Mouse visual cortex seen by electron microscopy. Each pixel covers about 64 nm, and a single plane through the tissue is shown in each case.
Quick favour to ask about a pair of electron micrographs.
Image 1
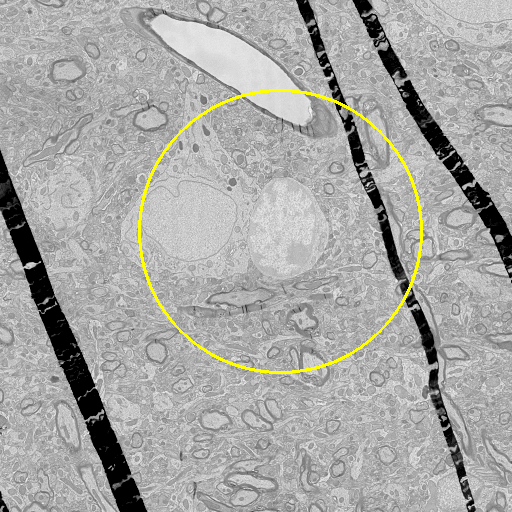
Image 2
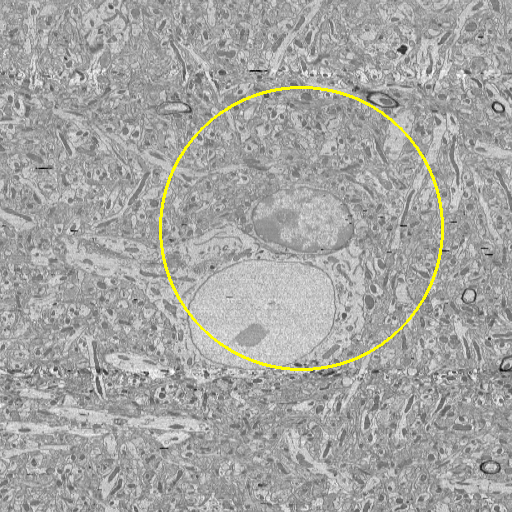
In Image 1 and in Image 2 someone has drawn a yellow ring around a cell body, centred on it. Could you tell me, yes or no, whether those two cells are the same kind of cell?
yes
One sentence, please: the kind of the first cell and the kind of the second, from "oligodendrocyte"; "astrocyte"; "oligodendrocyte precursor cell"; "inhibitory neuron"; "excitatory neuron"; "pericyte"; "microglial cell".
In each picture the ringed cell is an oligodendrocyte.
